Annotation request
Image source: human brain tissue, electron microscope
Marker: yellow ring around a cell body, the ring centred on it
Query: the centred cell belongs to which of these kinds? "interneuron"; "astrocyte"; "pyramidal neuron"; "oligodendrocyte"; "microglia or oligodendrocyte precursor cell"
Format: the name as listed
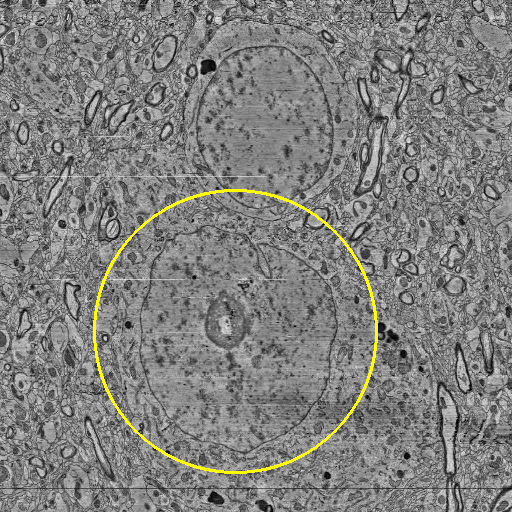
pyramidal neuron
